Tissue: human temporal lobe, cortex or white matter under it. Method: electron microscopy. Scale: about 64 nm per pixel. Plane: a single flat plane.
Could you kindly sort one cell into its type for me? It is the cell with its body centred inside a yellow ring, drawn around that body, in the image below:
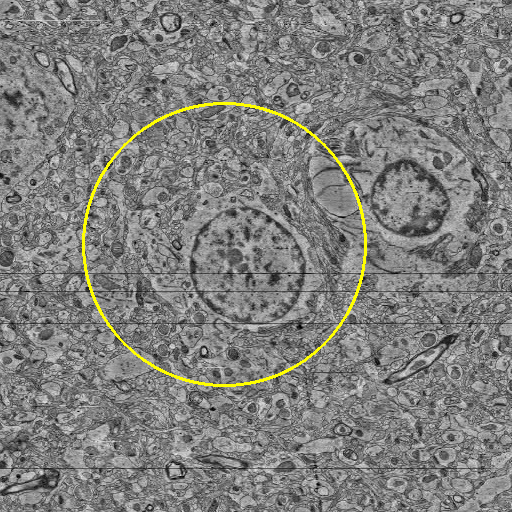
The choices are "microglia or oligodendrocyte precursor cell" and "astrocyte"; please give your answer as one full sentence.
The cell whose body lies centred in the yellow ring here is an astrocyte.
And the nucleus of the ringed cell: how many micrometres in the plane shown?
Roughly 7 micrometers across in this plane.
